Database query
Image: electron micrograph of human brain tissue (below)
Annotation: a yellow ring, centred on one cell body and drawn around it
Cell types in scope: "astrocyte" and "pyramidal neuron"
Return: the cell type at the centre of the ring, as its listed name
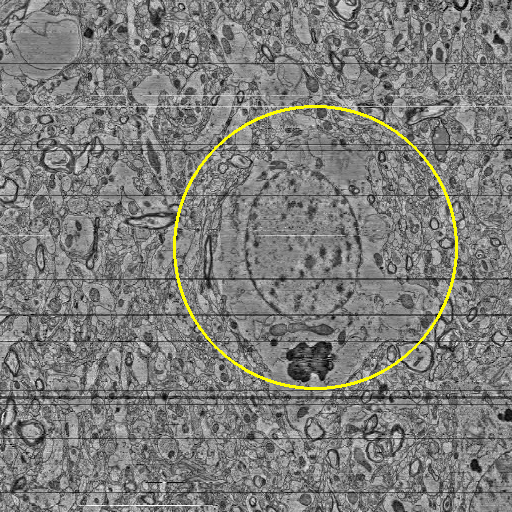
astrocyte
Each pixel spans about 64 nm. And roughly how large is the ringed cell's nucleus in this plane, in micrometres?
Approximately 10 micrometres long and 7 micrometres wide, in this plane.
